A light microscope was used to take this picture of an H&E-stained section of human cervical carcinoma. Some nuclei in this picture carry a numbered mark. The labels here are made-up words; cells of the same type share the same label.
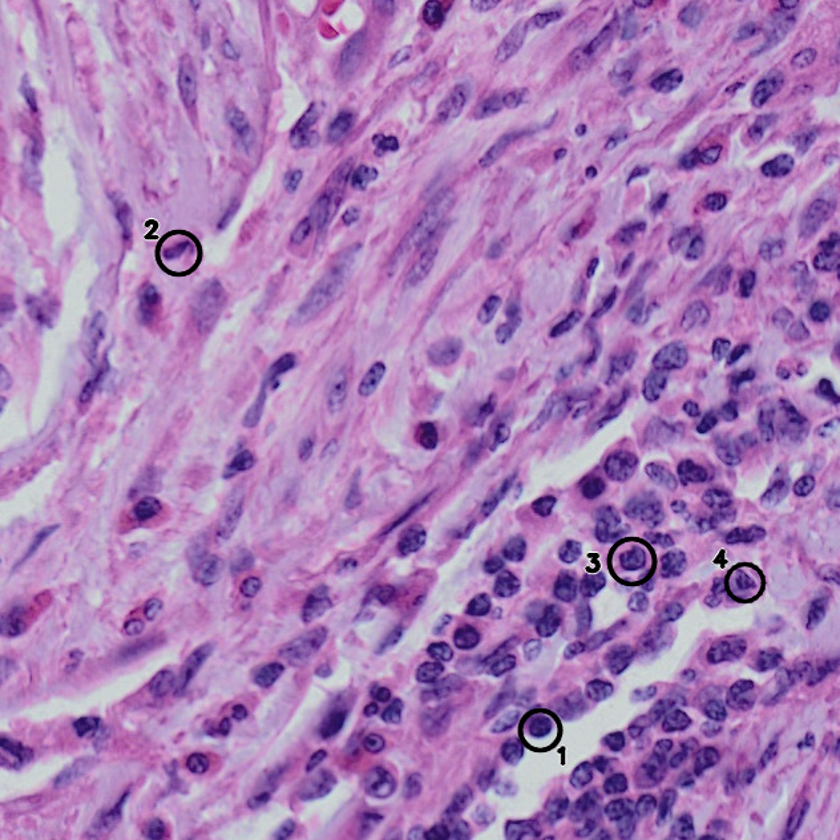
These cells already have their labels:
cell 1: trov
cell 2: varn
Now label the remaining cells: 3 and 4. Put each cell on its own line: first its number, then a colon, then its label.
3: trov
4: trov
